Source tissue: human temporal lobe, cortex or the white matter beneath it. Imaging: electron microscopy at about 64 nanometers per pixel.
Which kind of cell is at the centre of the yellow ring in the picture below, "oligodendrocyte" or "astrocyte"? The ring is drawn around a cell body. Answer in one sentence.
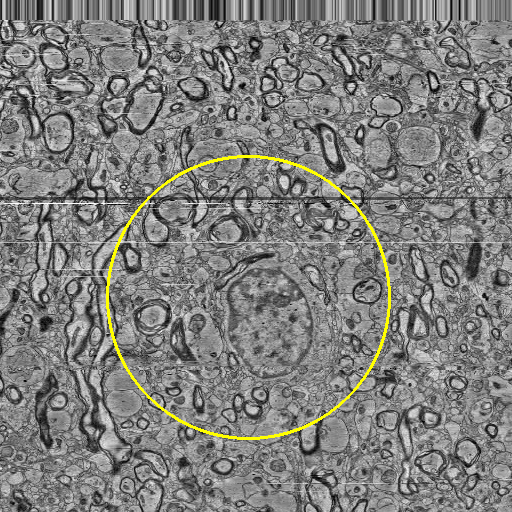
The ring's central cell is an oligodendrocyte.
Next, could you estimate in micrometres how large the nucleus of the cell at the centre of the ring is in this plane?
In this plane, approximately 7 by 6 micrometers.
